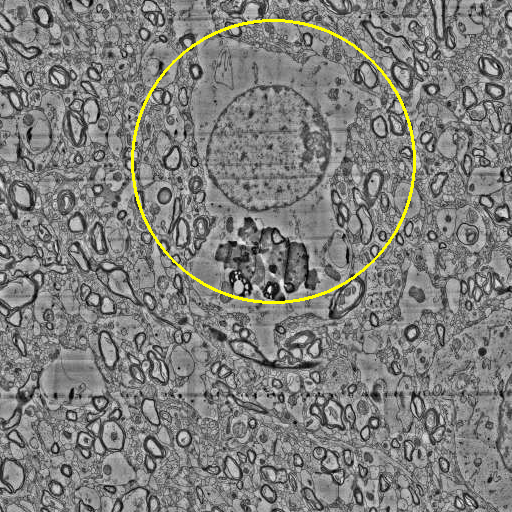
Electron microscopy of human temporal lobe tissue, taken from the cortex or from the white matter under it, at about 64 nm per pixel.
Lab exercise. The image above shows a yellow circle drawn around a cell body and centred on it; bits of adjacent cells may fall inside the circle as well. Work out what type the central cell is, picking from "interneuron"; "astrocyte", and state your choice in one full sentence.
In the image above, the cell at the centre of the yellow circle is an astrocyte.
